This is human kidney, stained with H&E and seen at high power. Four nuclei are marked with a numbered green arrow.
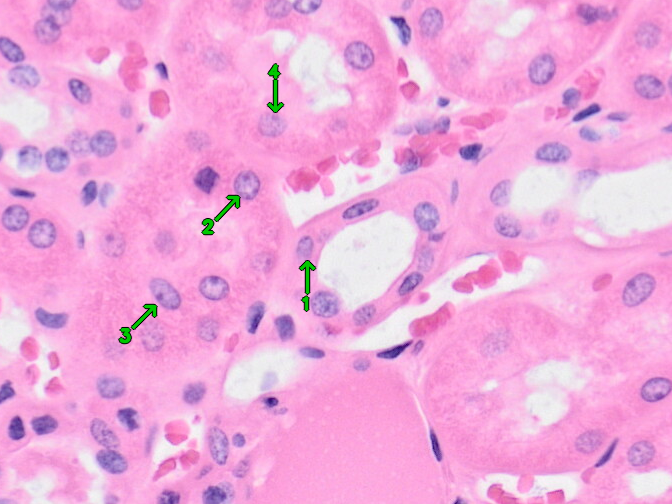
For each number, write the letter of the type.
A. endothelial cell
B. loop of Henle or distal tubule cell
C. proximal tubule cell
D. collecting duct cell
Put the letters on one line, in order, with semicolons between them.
D; C; C; C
